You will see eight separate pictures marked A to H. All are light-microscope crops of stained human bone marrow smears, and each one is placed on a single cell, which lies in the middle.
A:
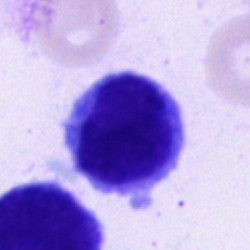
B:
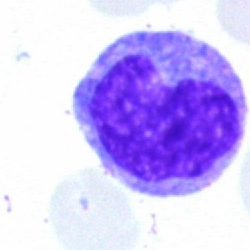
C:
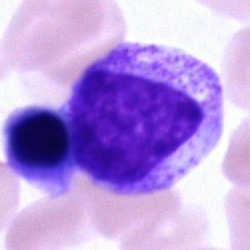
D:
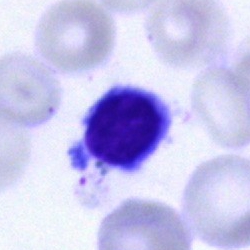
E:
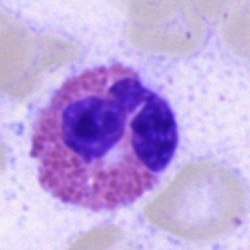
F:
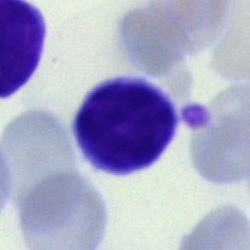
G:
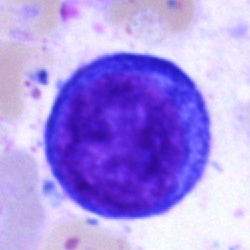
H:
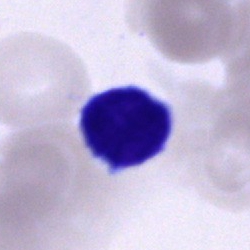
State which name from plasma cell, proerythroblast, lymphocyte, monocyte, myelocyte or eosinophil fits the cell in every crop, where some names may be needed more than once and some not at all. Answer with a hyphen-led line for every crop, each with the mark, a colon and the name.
- A: monocyte
- B: monocyte
- C: myelocyte
- D: lymphocyte
- E: eosinophil
- F: lymphocyte
- G: proerythroblast
- H: lymphocyte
